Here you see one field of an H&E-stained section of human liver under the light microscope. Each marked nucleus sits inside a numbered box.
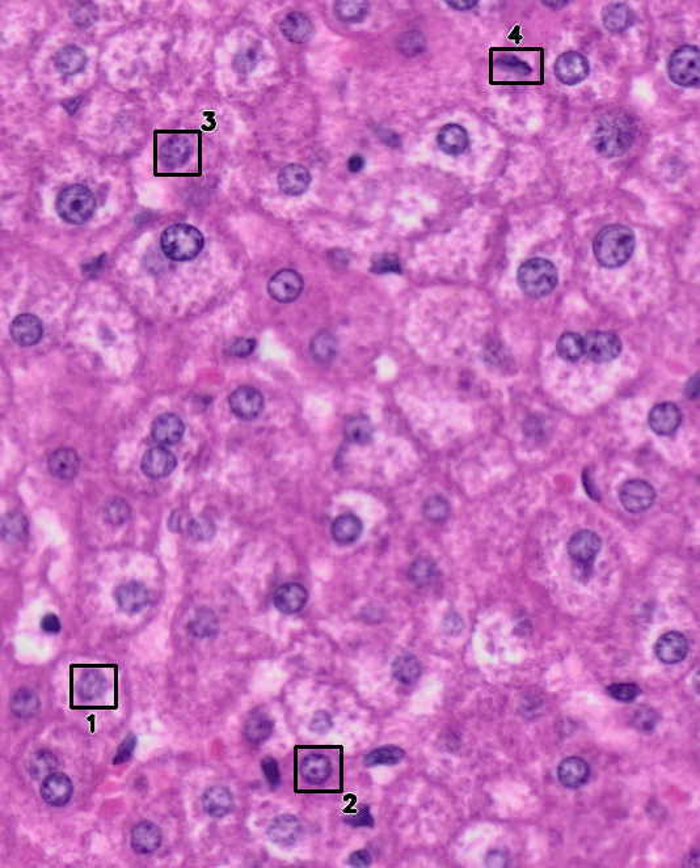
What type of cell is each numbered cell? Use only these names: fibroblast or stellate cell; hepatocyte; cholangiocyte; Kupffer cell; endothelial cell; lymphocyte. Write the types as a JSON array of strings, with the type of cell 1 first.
["hepatocyte", "hepatocyte", "hepatocyte", "endothelial cell"]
